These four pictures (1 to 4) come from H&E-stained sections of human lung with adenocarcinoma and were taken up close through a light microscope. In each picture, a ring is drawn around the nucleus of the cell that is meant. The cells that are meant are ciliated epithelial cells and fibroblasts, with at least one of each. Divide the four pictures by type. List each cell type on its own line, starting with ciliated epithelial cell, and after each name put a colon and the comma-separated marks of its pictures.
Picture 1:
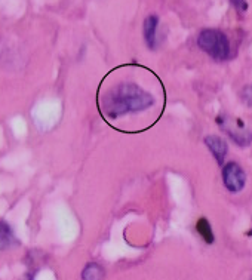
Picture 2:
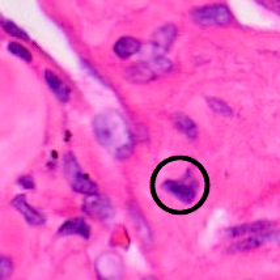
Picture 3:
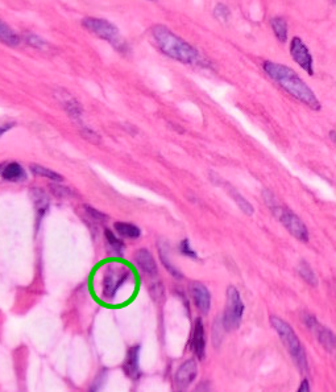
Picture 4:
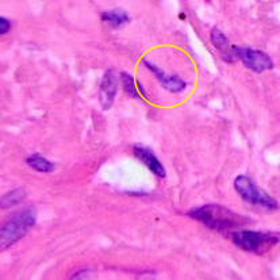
ciliated epithelial cell: 3
fibroblast: 1, 2, 4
